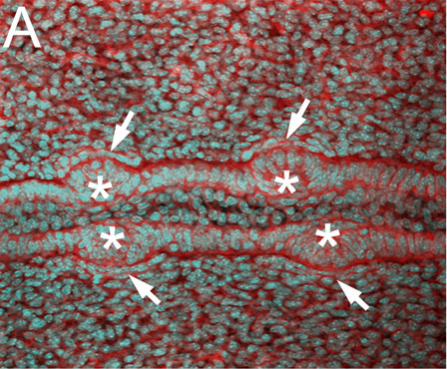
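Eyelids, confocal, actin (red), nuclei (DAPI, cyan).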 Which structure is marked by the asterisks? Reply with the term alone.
Epithelial condensation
